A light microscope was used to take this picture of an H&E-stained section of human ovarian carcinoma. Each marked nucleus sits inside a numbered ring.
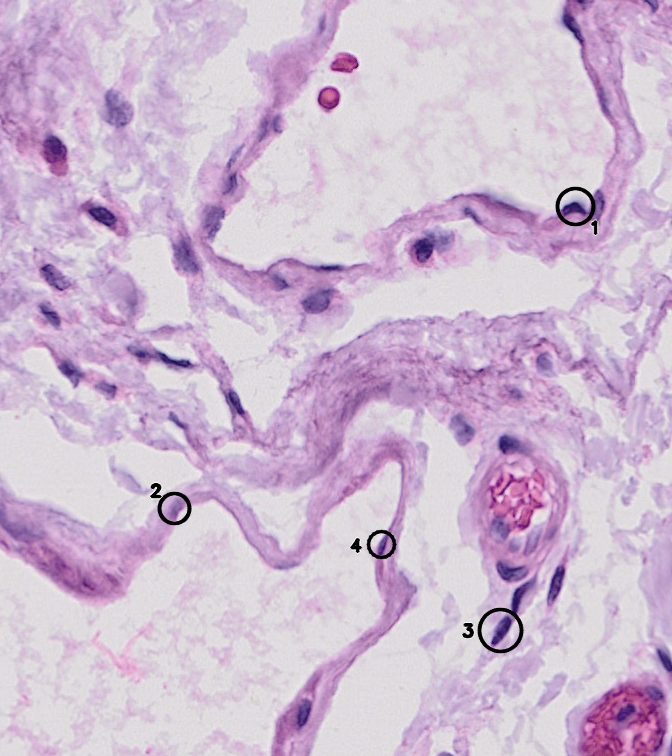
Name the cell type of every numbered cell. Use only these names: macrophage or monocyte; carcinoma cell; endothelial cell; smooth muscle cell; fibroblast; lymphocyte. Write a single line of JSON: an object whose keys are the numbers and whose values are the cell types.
{"1": "endothelial cell", "2": "endothelial cell", "3": "fibroblast", "4": "endothelial cell"}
